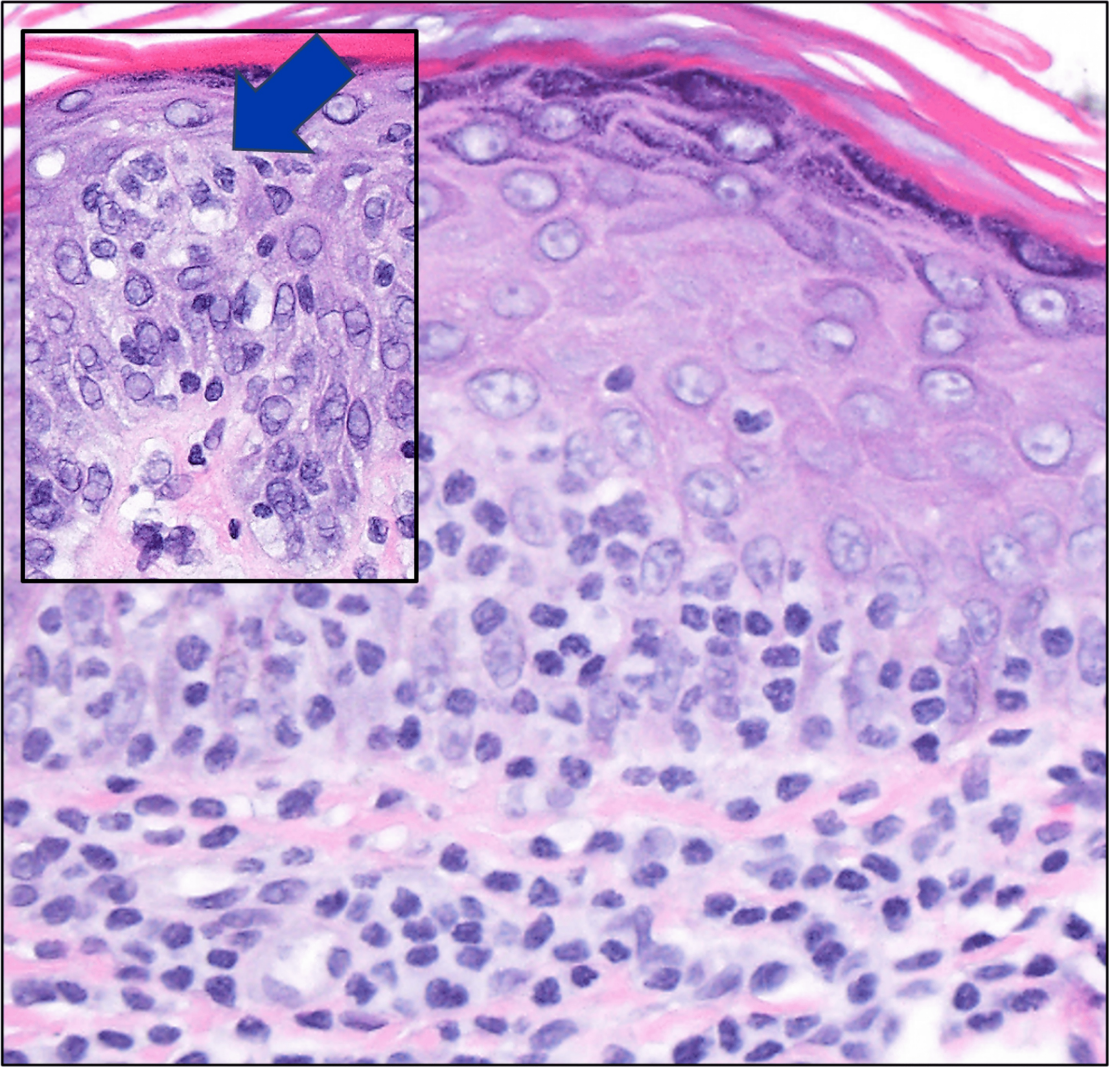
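Skin with a diffuse infiltrate of small lymphoid cells in the dermis, made up of densely packed cells with small, round to slightly irregular dark purple nuclei and scant cytoplasm. The infiltrate presses up against the base of the epidermis, and scattered single small dark cells, some with clear halos, lie within the lower epidermis among larger keratinocytes with pale oval nuclei and pink cytoplasm. The surface shows a dark granular layer beneath a pink stratum corneum, and the inset shows a small cluster of lymphoid cells within the epidermis.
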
